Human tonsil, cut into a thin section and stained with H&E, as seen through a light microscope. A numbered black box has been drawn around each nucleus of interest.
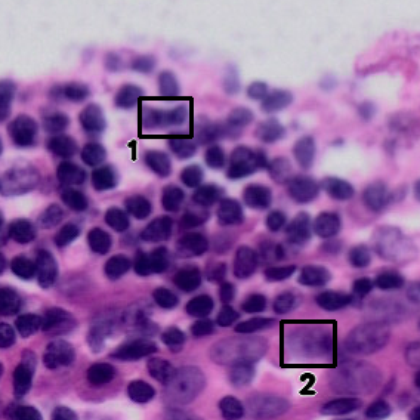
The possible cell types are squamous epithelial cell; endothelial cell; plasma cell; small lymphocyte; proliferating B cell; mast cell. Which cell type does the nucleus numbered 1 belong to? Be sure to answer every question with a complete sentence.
Cell 1 is classified as a small lymphocyte.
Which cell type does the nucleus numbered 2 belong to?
The cell that is numbered 2 is an endothelial cell.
